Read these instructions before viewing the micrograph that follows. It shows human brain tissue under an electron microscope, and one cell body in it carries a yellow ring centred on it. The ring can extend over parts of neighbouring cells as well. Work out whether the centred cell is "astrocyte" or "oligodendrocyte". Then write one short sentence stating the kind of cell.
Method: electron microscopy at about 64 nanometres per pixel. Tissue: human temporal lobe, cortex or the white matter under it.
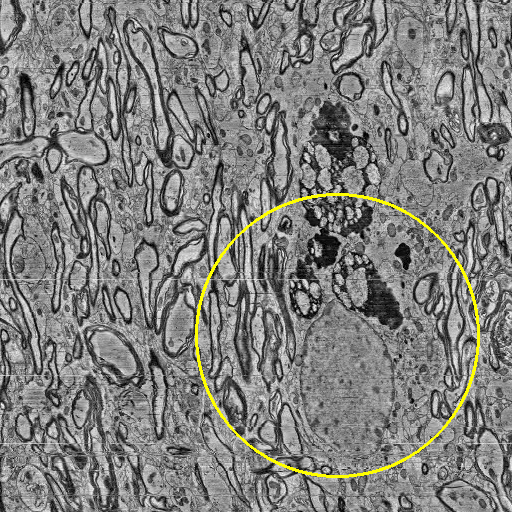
The ringed cell is an astrocyte.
